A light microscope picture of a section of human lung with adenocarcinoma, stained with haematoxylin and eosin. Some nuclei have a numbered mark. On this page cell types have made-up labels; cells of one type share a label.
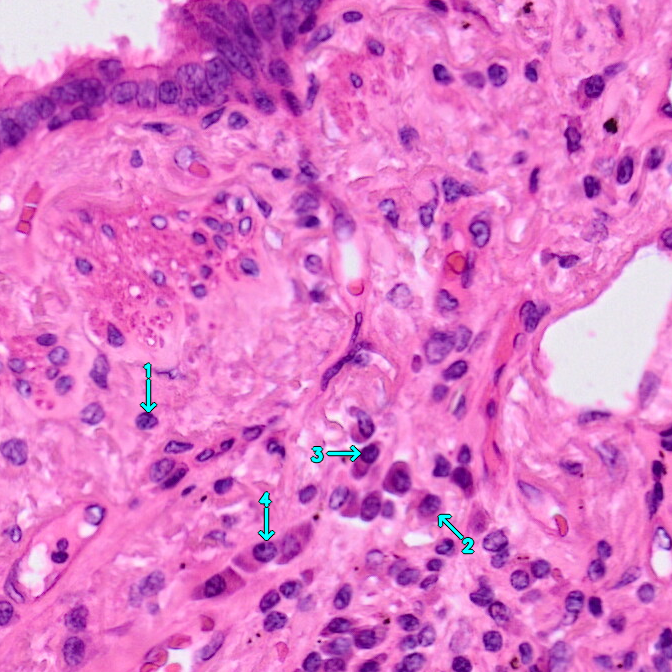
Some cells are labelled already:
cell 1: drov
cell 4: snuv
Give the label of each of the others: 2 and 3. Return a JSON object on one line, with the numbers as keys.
{"2": "snuv", "3": "snuv"}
